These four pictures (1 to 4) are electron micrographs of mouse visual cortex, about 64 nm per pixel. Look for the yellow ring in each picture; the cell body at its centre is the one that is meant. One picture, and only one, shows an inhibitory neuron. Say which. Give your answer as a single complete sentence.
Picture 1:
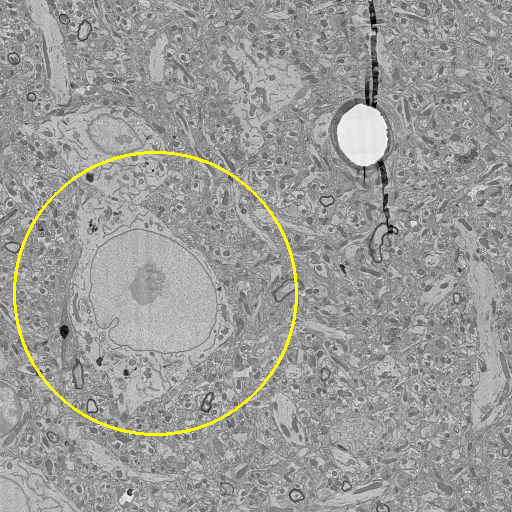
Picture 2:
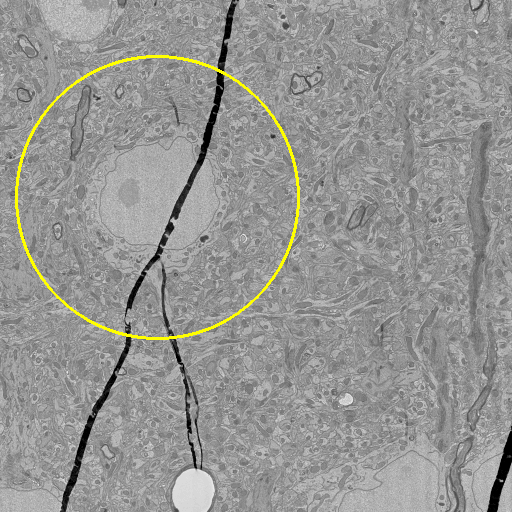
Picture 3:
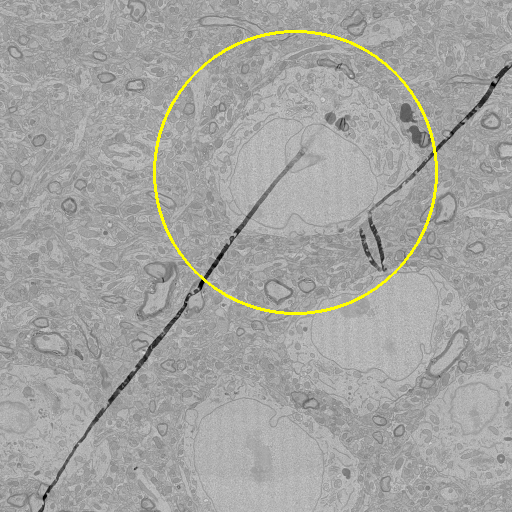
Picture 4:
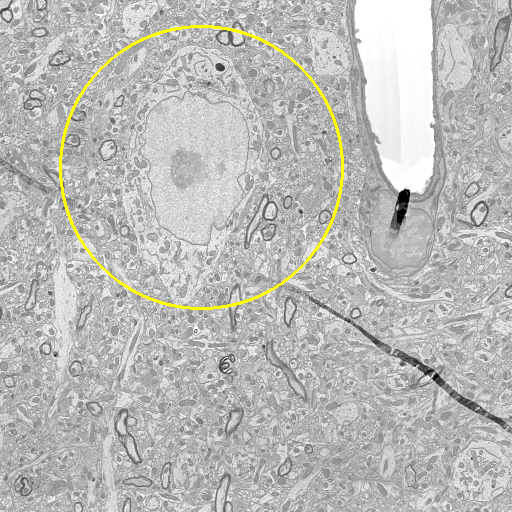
The cell in picture 4 is the inhibitory neuron.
